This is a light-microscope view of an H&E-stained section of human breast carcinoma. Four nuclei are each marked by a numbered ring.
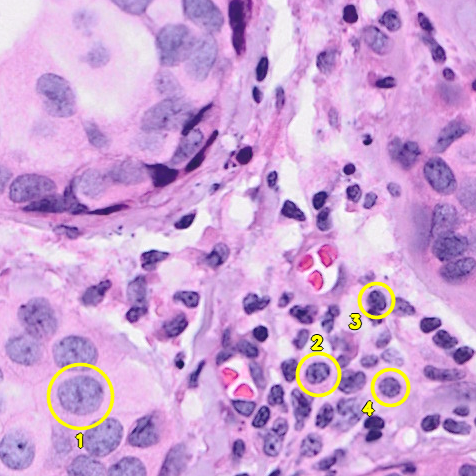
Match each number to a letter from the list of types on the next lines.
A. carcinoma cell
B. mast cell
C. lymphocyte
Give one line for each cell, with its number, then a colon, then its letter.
1: A
2: B
3: C
4: B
